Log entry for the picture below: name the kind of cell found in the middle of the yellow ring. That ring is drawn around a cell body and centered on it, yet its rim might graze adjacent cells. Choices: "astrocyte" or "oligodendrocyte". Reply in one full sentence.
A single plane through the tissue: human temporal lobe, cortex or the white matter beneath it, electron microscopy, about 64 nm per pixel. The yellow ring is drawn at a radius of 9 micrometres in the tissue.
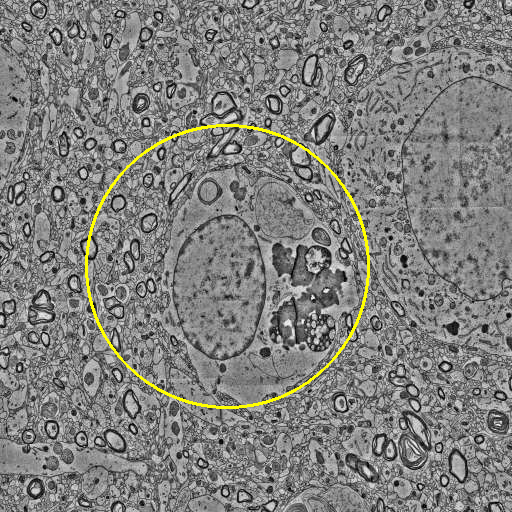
The cell in the middle of the yellow ring in this picture is an astrocyte.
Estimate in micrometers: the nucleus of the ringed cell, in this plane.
Roughly 9 by 6 micrometres; in this plane, clearly longer than it is wide.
